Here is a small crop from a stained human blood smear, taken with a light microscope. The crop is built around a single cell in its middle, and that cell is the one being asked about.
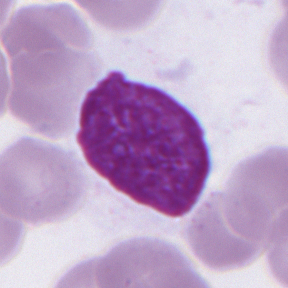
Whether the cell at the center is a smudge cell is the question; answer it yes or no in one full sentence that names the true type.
Yes, a smudge cell is what the central cell is.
